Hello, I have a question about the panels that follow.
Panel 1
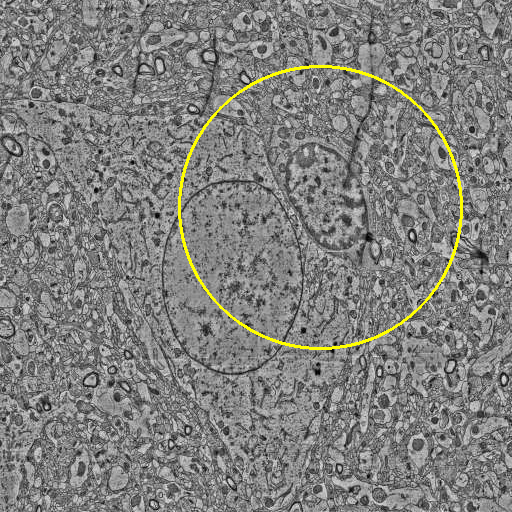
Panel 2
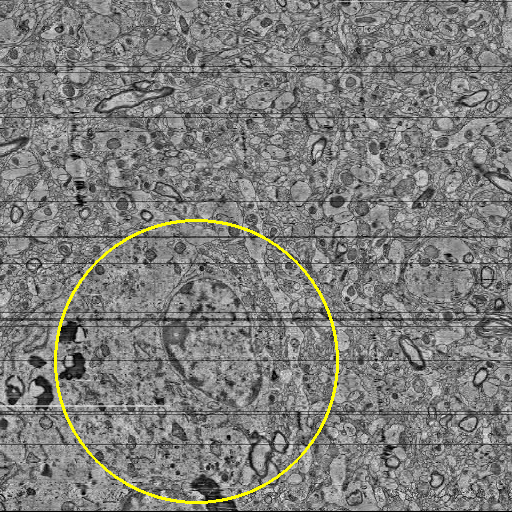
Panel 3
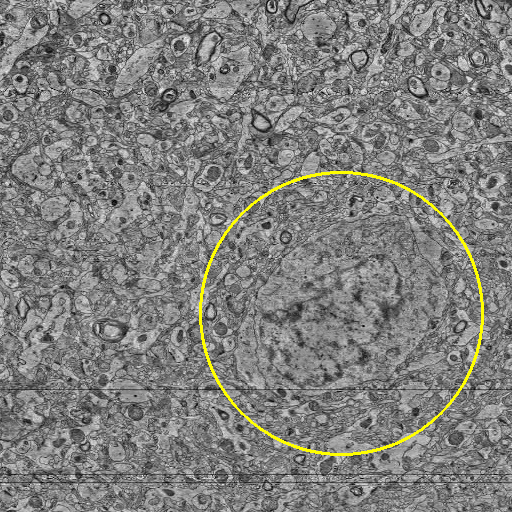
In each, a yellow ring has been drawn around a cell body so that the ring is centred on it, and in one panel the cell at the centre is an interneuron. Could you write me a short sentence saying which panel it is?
It is Panel 3.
